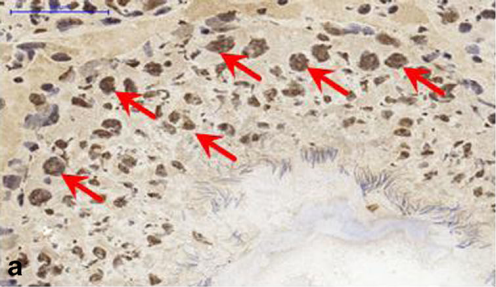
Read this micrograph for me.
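This is a section of testis showing part of a seminiferous tubule with its layered epithelium around a pale lumen. Many large round nuclei in the epithelium are stained dark brown, and several of them are marked by arrows. Smaller and elongated nuclei are also brownish, and some slender dark heads with tails project toward the lumen at the lower right.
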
